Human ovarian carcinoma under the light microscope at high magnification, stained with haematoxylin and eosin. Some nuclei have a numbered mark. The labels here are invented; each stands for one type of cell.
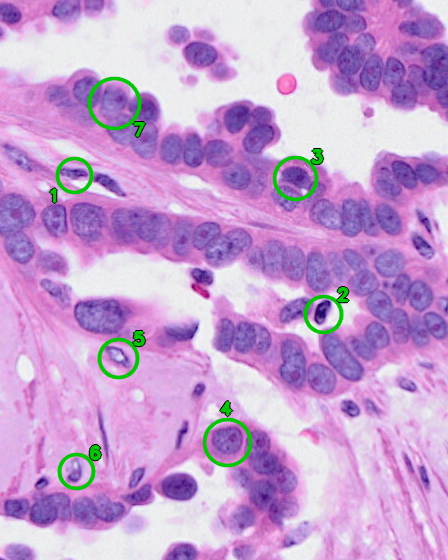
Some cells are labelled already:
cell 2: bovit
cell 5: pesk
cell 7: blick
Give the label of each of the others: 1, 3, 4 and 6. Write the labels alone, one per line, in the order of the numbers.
pesk
blick
blick
pesk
